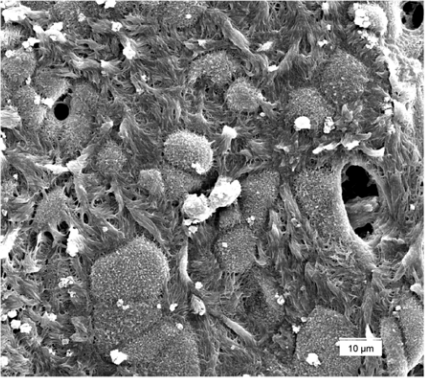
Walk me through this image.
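Many cells show rounded, dome-shaped apical surfaces densely studded with short microvilli, giving them a granular texture. Between and over these domes run tufts of long, slender cilia, lying in bundles that sweep across the surface in various directions. A few dark, oval openings interrupt the surface. Small bright irregular particles of debris are scattered on top. The cells are closely packed, and the cilia form a loose meshwork rather than a continuous carpet.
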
